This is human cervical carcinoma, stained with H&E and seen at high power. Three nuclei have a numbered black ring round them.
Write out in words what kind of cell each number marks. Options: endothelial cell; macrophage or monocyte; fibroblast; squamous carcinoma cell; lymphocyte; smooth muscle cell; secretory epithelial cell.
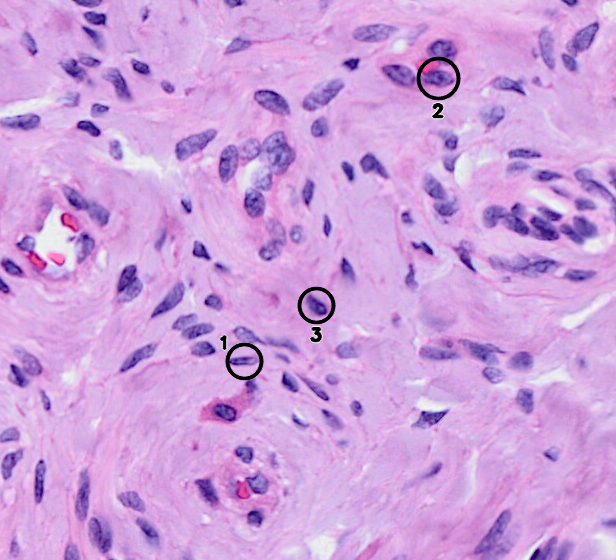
Cells 1 and 3 are fibroblasts. Cell 2 is an endothelial cell.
